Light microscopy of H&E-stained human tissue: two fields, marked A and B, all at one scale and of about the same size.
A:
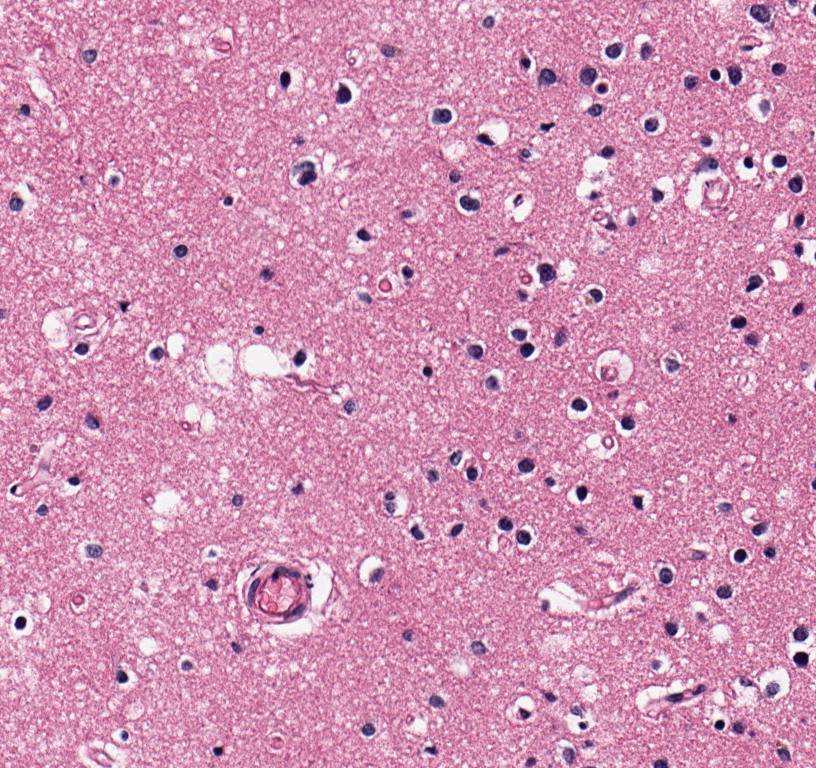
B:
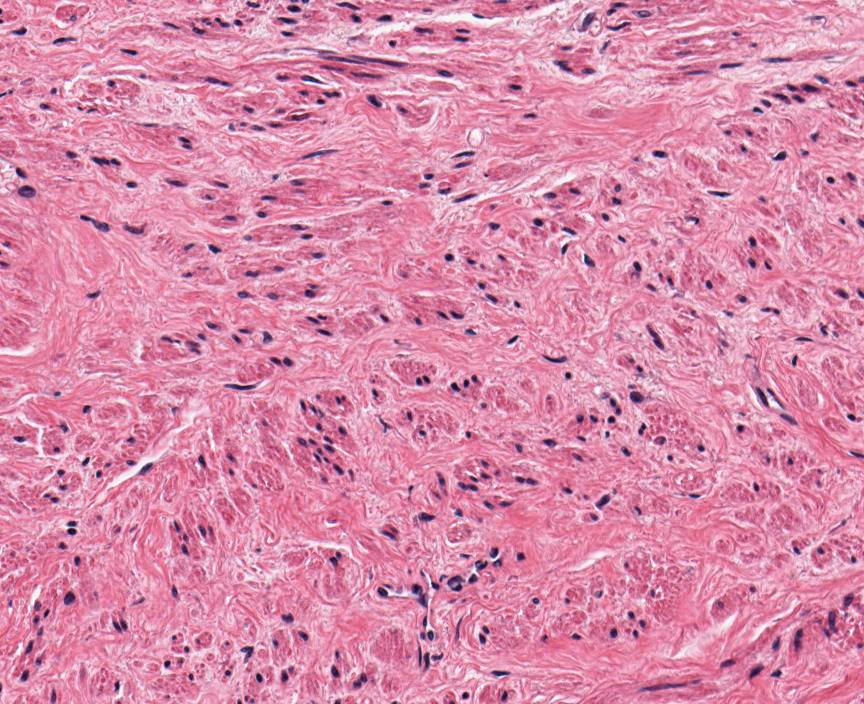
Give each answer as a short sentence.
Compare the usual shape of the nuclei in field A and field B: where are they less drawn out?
Rounder nuclei lie in field A.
